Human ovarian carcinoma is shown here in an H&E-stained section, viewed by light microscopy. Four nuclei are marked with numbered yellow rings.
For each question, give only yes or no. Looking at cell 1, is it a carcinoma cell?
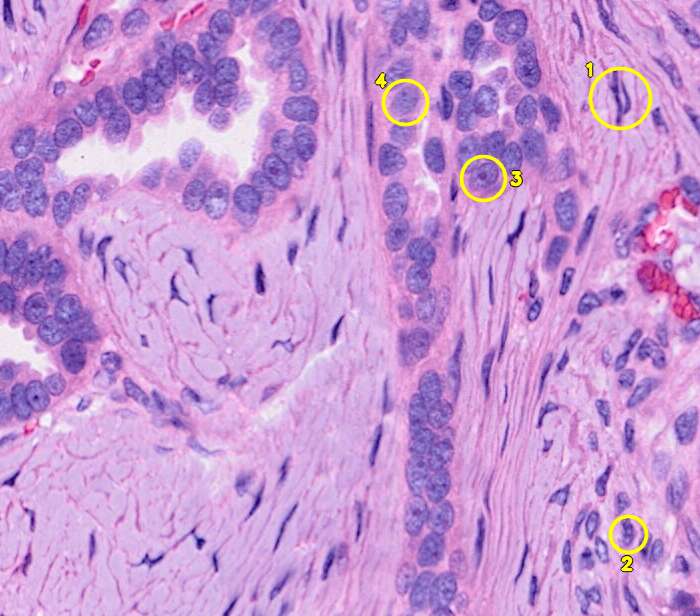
no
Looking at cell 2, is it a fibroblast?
yes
